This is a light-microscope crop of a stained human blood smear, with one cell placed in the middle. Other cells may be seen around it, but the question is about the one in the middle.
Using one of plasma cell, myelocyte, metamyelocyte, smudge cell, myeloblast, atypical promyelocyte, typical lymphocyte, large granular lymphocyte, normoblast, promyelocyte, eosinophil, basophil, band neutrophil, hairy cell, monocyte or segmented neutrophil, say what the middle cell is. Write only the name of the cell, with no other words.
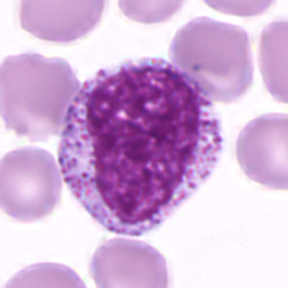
metamyelocyte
